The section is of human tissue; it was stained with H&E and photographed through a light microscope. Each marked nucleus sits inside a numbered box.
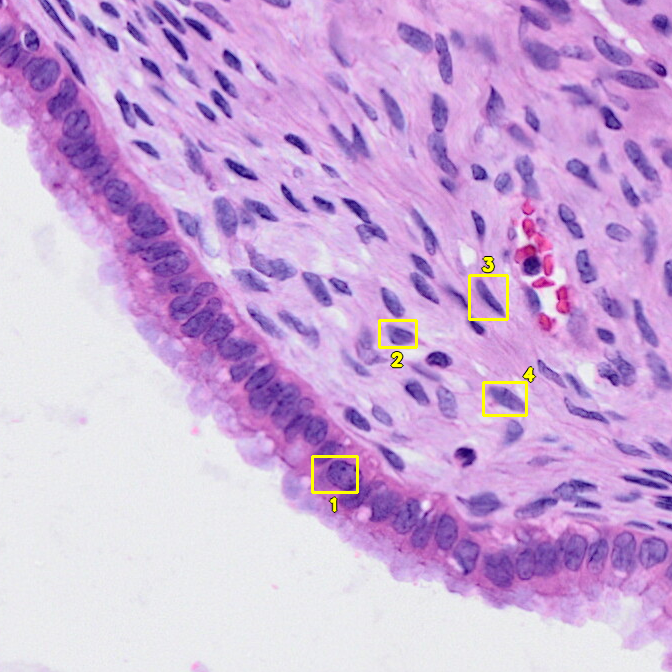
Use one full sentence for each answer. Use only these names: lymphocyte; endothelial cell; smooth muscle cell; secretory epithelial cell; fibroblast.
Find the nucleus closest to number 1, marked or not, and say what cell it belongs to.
The nucleus nearest to number 1 is that of a secretory epithelial cell.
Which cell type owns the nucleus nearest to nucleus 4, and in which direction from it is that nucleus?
A fibroblast lies closest, below nucleus 4.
